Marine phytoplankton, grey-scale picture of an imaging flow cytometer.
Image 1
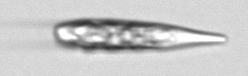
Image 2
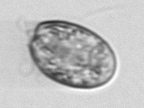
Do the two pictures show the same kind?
No: Licmophora, then Prorocentrum.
